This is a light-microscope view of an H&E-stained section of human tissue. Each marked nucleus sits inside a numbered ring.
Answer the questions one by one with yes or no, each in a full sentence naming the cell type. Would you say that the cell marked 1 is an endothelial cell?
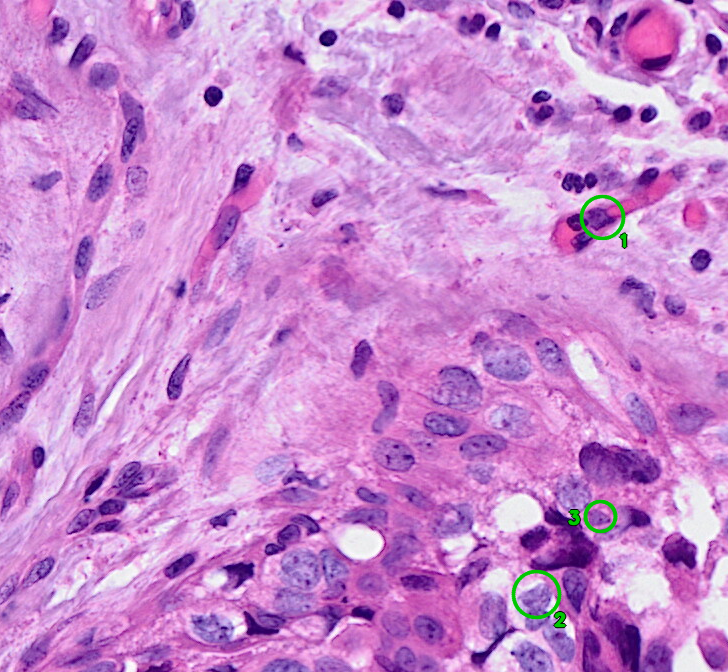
Yes, of the numbered cells, number 1 is an endothelial cell.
